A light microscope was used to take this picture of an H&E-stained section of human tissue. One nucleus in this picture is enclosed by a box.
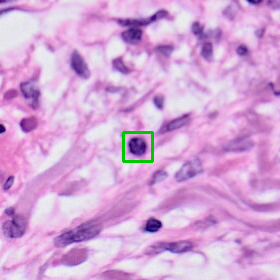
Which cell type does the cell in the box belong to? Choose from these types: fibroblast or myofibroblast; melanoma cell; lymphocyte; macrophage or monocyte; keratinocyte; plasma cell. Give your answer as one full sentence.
As far as its identity is concerned, the cell in the box is a plasma cell.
